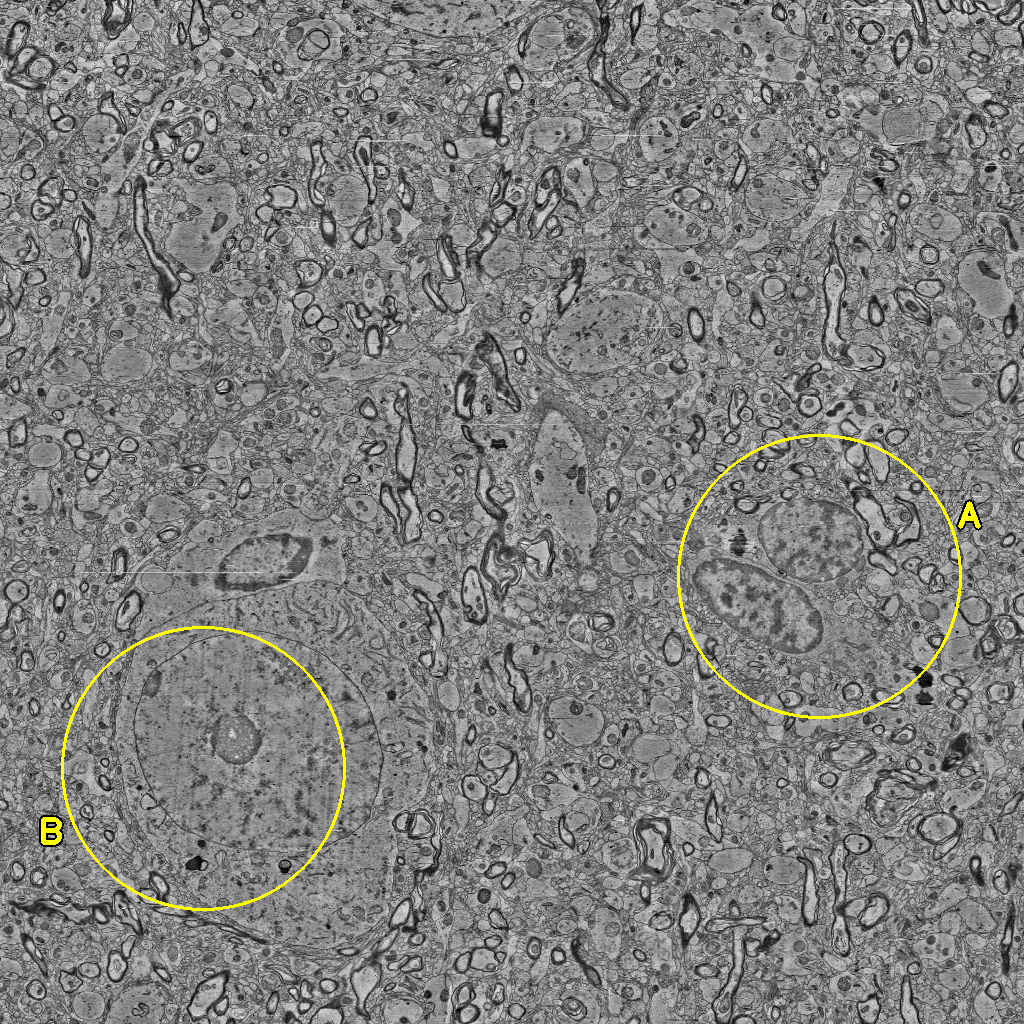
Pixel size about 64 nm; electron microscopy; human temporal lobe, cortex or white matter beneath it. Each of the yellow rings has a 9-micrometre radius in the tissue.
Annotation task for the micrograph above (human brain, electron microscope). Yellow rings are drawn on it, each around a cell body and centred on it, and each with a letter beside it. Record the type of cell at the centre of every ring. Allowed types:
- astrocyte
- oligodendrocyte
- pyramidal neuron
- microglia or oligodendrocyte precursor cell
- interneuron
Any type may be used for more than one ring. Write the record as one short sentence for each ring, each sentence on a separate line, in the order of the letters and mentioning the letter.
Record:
The cell centred in ring A is an oligodendrocyte.
The cell centred in ring B is a pyramidal neuron.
